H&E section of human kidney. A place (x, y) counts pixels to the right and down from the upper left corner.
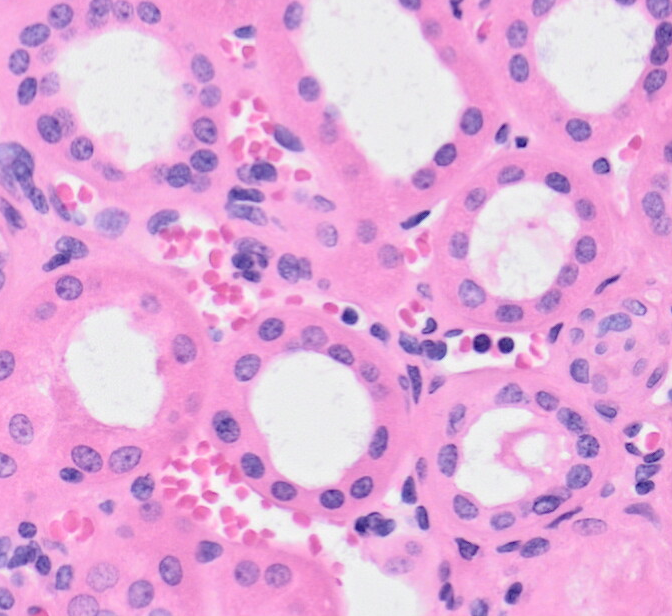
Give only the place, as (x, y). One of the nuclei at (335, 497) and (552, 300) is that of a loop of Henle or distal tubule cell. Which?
(552, 300)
